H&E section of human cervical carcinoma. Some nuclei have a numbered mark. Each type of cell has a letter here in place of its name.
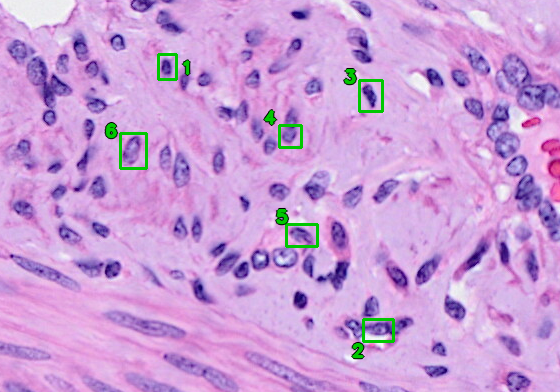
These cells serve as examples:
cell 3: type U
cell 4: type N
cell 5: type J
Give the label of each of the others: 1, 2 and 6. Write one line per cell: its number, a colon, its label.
1: type U
2: type J
6: type N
